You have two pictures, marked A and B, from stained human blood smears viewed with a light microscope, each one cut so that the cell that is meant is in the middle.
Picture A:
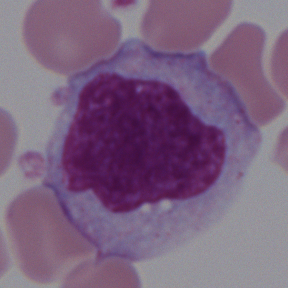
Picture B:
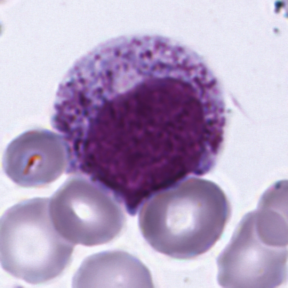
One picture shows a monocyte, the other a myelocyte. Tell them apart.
A: monocyte
B: myelocyte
